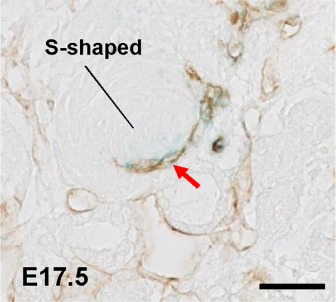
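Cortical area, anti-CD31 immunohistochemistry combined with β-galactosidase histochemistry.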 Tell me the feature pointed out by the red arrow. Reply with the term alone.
Vascular clefts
